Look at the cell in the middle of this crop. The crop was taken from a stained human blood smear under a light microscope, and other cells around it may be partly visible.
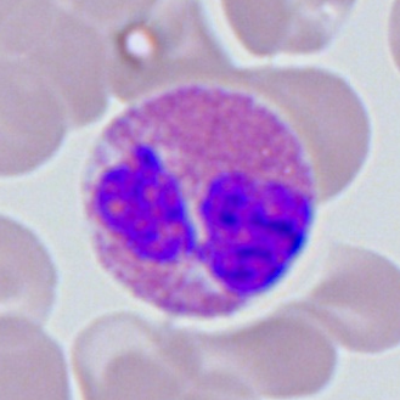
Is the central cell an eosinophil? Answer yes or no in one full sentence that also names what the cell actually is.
Yes, the cell shown at the crop's centre is an eosinophil.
